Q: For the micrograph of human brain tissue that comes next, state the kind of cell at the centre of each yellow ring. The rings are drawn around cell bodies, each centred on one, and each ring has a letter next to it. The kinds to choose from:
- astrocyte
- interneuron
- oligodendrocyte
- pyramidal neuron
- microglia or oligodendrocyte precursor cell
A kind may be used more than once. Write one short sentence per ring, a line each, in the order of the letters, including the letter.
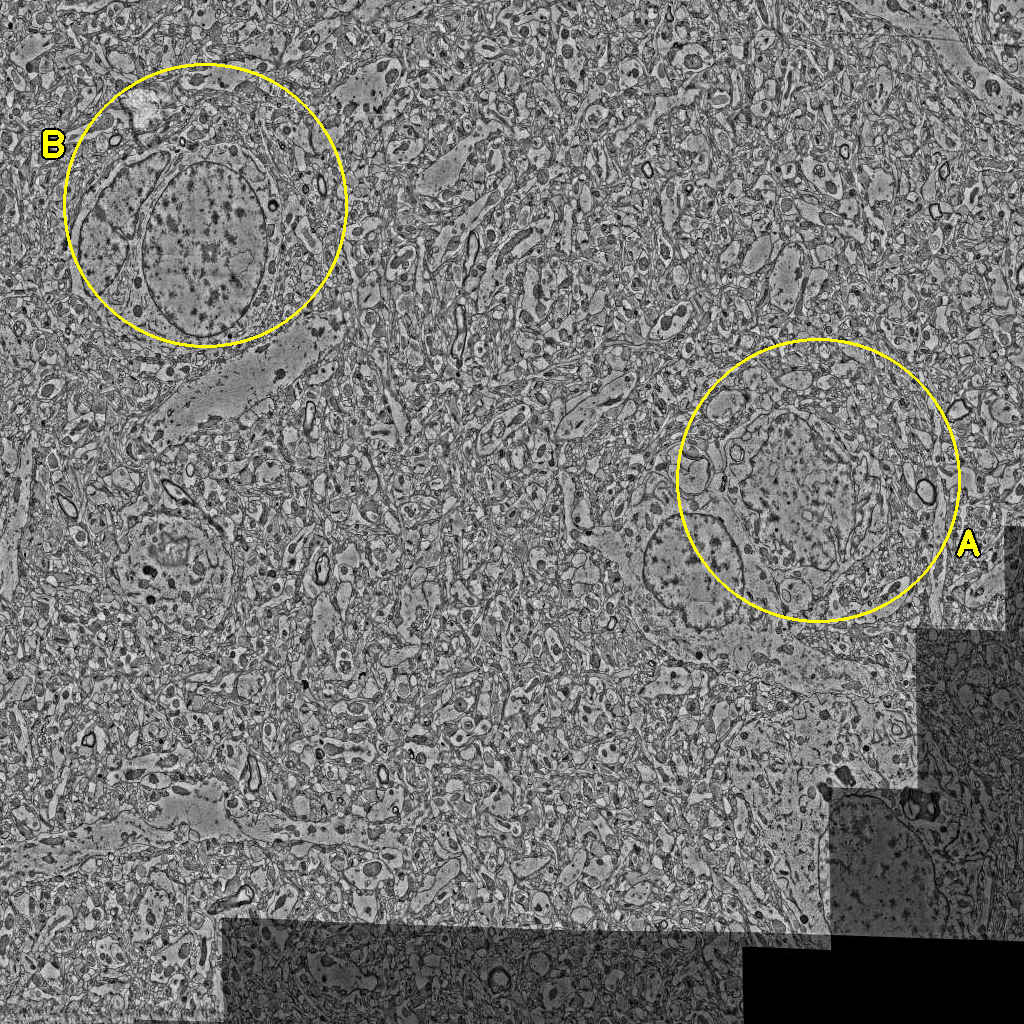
The cell ringed as A is an interneuron.
The cell ringed as B is a pyramidal neuron.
